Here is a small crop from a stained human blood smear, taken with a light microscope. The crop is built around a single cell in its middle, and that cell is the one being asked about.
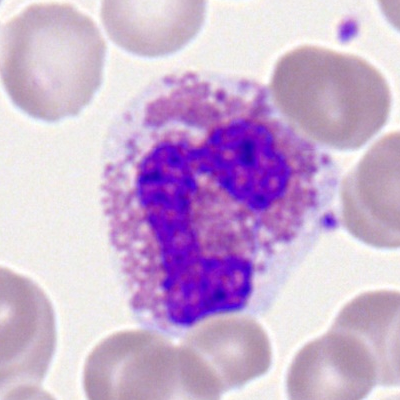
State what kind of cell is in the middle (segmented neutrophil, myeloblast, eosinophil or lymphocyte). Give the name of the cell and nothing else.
eosinophil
